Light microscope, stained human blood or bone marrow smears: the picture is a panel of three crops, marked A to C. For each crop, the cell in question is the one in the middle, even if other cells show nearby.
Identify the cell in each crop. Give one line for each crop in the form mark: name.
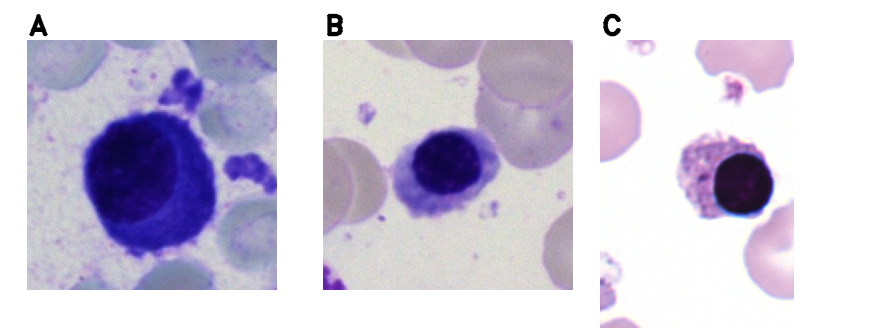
A: plasma cell
B: normoblast
C: normoblast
